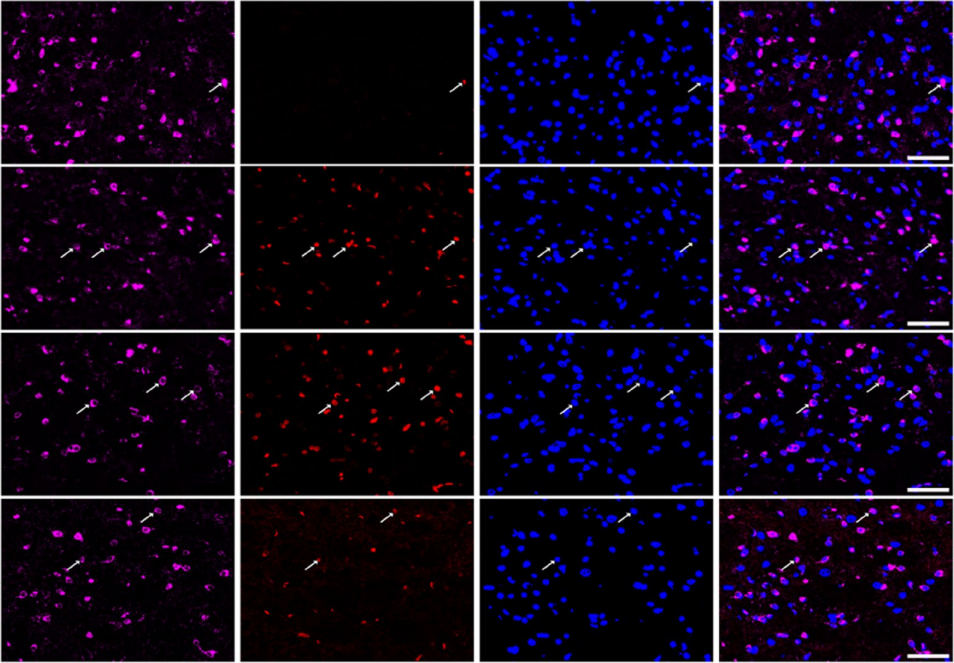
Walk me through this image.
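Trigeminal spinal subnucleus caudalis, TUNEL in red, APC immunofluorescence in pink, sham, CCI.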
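This is a grid of fluorescence images of nervous tissue in which small glial cell bodies stained pink are scattered among many blue oval nuclei. Each row shows the same field as a pink image, a red image, a blue image and a merged image. Red dots are almost absent in the top row, numerous in the second and third rows and fewer and fainter in the bottom row. Where a red dot lies on a pink cell and its blue nucleus, white arrows mark the overlap.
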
